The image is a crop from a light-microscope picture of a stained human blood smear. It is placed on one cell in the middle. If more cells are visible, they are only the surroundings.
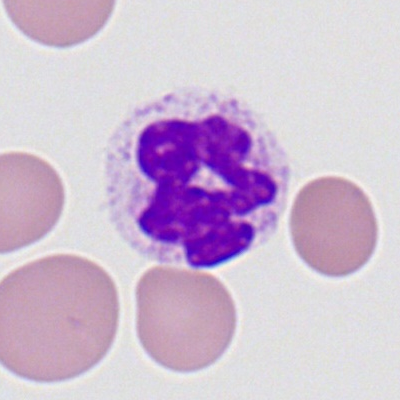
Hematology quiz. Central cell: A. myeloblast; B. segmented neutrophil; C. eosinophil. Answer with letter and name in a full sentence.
The cell centered in the crop is a segmented neutrophil, making option B the correct pick.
